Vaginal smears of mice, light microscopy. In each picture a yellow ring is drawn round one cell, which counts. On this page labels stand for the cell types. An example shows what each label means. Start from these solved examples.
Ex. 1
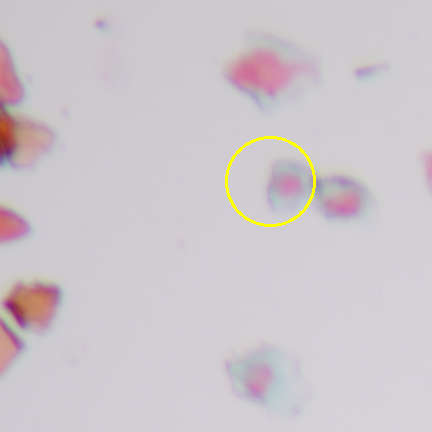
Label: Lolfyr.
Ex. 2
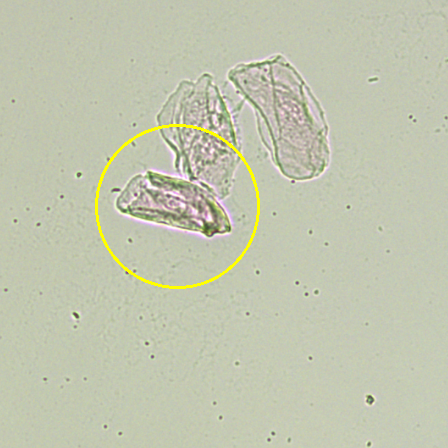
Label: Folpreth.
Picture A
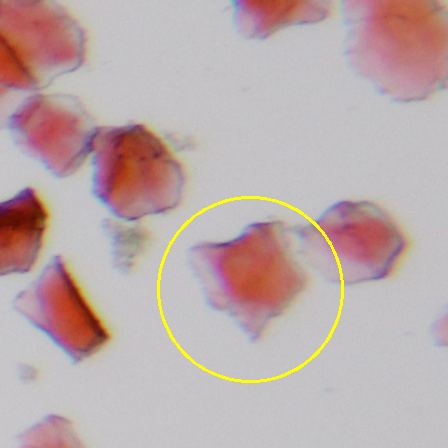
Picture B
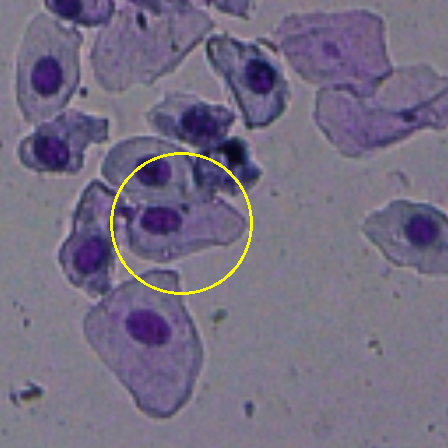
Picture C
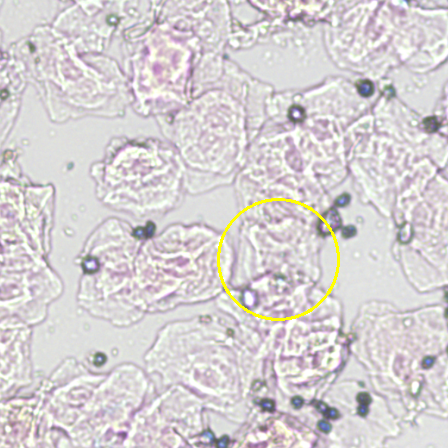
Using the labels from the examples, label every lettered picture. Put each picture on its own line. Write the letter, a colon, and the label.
A: Folpreth.
B: Lolfyr.
C: Folpreth.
